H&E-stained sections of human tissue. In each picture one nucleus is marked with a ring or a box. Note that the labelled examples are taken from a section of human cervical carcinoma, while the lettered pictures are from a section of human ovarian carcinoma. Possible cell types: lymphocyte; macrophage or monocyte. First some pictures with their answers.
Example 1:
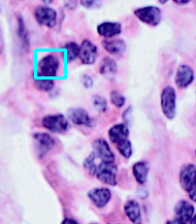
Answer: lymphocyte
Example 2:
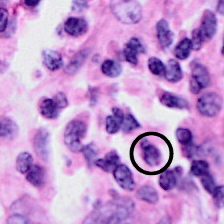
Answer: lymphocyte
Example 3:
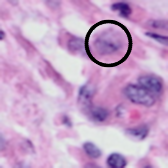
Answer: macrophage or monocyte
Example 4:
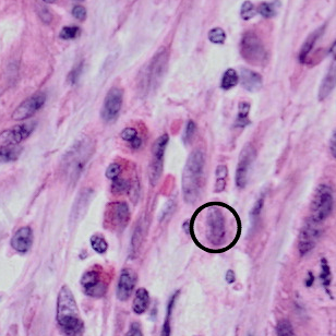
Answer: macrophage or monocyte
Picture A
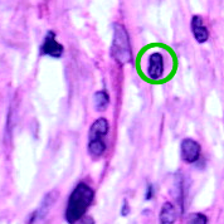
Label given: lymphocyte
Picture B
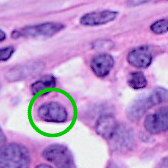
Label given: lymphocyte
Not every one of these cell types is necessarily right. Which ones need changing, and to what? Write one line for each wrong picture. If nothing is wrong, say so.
B is labelled lymphocyte; correct label: macrophage or monocyte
